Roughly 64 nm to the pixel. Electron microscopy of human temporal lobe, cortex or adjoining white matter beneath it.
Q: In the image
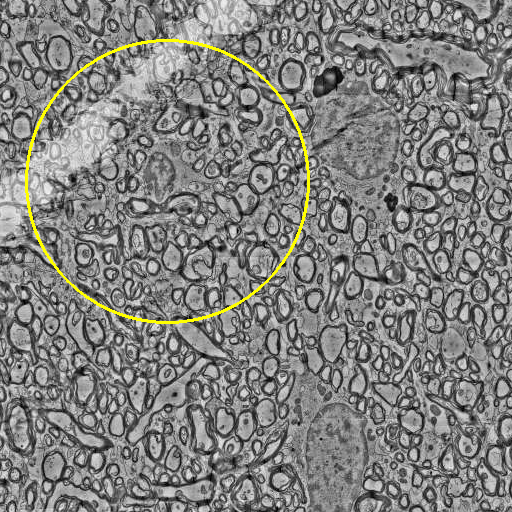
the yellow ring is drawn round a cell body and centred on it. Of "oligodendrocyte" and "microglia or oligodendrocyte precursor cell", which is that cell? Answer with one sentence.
The cell centred in the ring is an oligodendrocyte.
